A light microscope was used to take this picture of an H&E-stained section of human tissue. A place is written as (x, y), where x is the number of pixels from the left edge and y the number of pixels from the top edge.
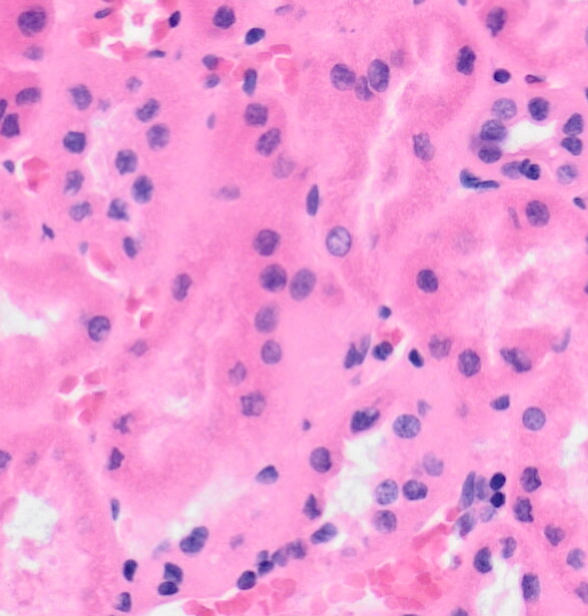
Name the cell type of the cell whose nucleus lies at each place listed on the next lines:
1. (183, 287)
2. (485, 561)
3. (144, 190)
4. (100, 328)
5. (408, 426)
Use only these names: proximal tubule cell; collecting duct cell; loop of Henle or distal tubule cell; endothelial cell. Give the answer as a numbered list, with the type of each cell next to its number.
1. proximal tubule cell
2. loop of Henle or distal tubule cell
3. loop of Henle or distal tubule cell
4. proximal tubule cell
5. loop of Henle or distal tubule cell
